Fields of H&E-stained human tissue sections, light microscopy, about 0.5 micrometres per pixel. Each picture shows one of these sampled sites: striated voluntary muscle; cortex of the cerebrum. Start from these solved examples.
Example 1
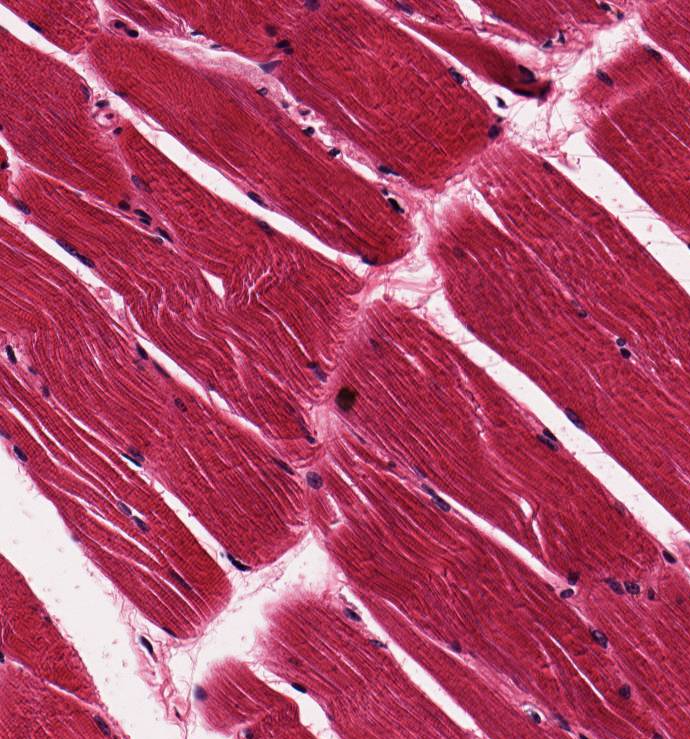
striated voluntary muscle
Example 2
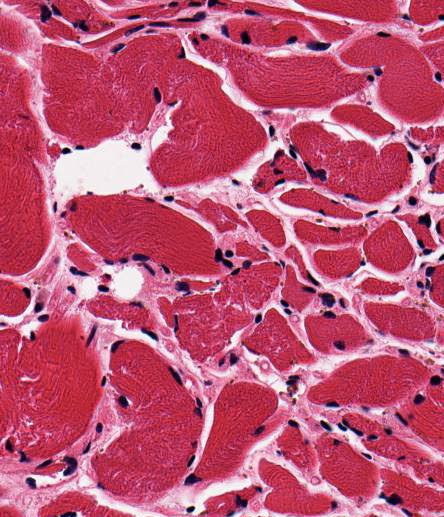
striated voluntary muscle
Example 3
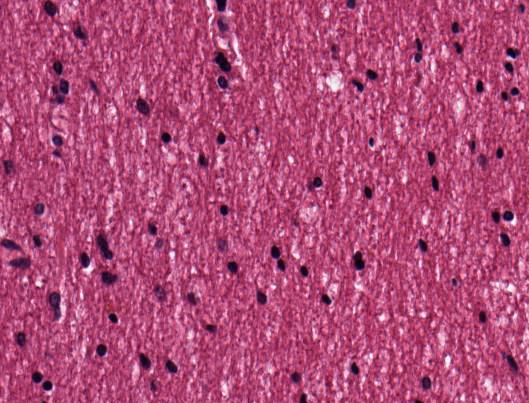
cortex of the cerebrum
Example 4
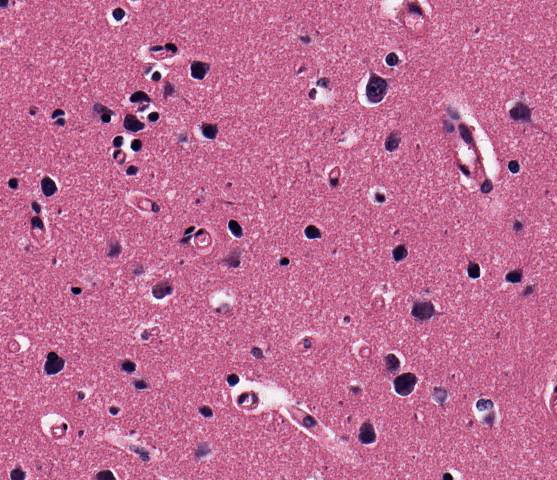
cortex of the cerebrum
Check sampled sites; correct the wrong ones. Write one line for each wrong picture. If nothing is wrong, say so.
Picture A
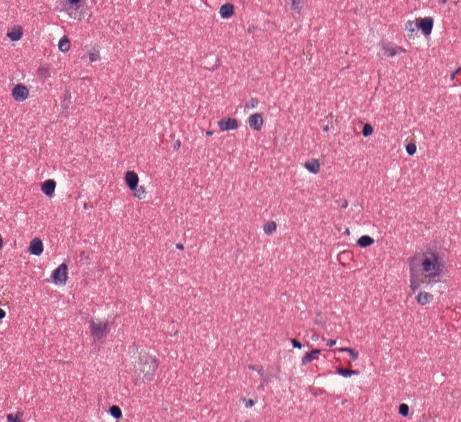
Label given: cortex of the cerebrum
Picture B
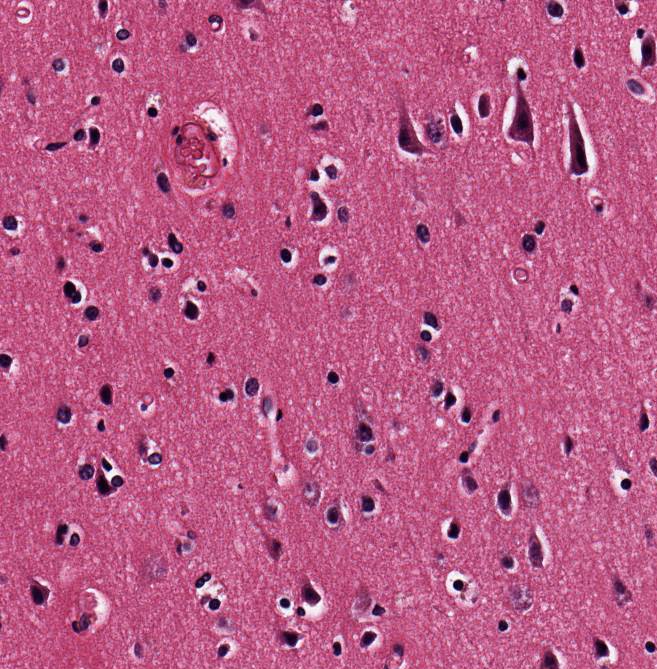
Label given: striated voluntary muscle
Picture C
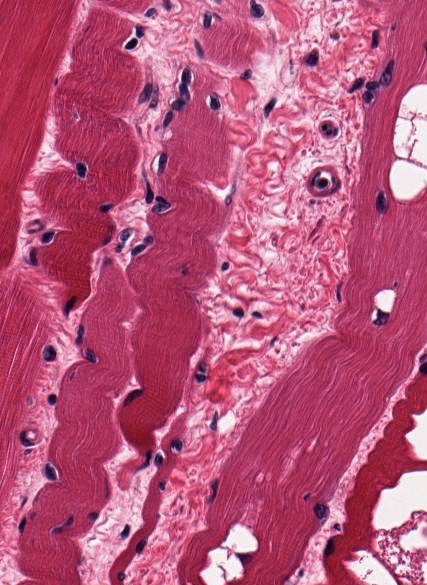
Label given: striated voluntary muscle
B: change striated voluntary muscle to cortex of the cerebrum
